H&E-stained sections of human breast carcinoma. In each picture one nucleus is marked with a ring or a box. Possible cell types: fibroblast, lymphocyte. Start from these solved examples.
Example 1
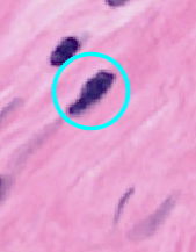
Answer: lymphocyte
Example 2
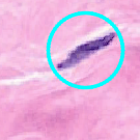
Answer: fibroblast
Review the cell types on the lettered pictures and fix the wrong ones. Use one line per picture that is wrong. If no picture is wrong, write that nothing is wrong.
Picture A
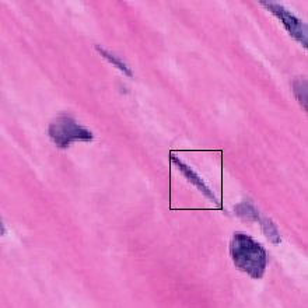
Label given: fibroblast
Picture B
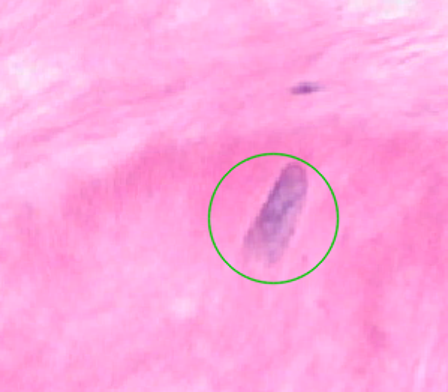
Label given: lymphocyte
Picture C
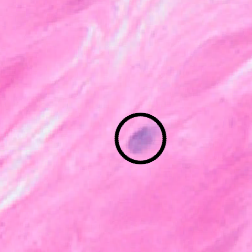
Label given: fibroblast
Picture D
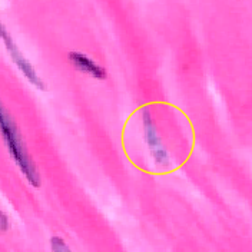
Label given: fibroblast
B: not lymphocyte but fibroblast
